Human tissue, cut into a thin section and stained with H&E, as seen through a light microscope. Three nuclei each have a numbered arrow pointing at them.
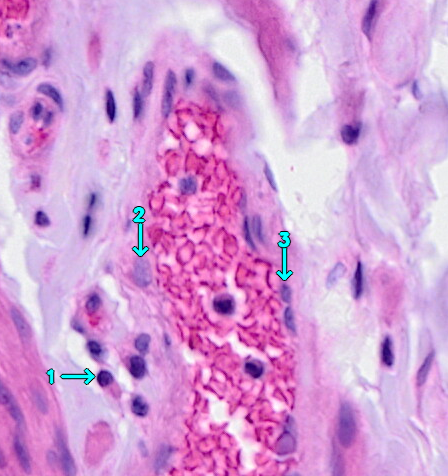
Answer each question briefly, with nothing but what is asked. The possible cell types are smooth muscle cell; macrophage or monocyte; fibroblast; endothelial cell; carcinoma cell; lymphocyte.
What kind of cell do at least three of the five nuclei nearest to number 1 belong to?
macrophage or monocyte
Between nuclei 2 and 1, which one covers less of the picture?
1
